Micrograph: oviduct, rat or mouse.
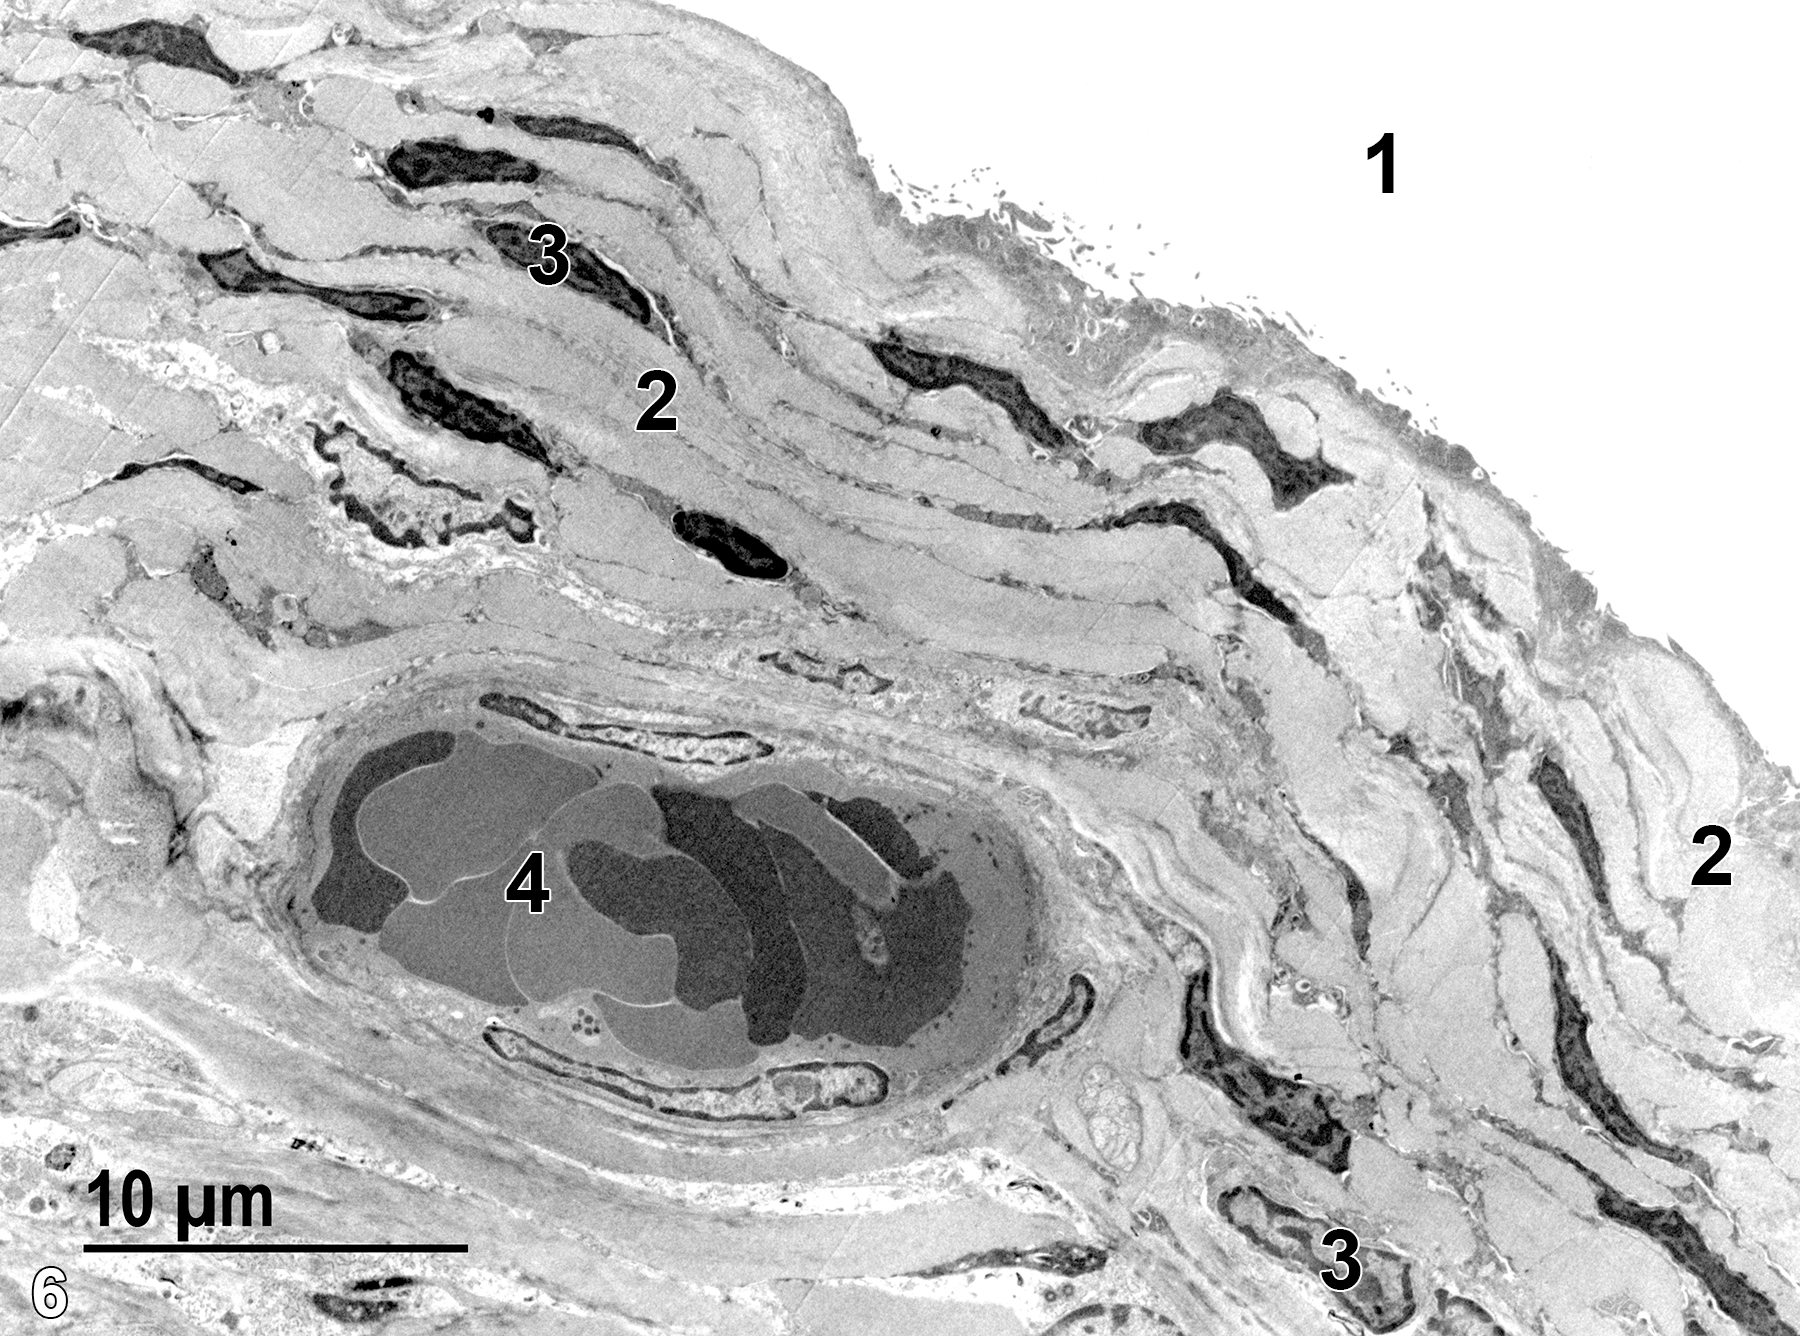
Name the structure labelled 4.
At 4: small venule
